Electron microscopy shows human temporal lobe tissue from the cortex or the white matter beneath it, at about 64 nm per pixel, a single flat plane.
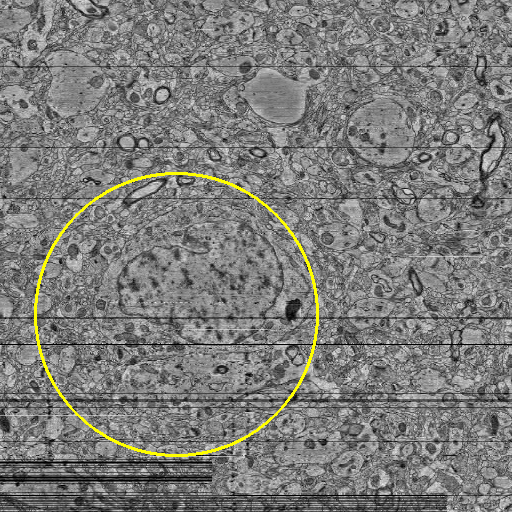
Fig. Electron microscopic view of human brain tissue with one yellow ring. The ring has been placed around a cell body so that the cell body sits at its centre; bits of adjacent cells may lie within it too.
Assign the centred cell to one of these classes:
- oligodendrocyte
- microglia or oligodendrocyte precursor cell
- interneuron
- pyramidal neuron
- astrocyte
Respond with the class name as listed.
interneuron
